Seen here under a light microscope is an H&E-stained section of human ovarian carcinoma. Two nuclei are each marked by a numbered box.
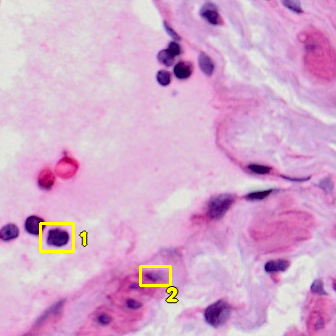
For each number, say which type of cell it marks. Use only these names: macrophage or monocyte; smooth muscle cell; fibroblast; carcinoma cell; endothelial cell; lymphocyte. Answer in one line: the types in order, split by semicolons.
lymphocyte; smooth muscle cell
